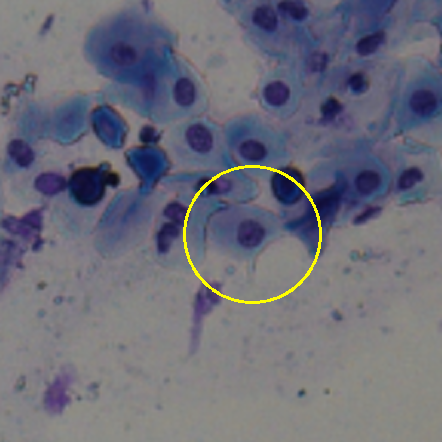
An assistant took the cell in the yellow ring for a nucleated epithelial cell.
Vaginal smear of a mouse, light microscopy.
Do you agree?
I agree, it is a nucleated epithelial cell.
